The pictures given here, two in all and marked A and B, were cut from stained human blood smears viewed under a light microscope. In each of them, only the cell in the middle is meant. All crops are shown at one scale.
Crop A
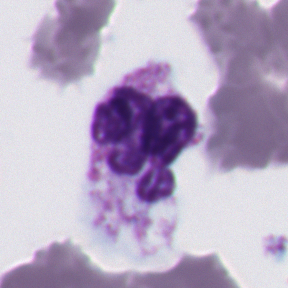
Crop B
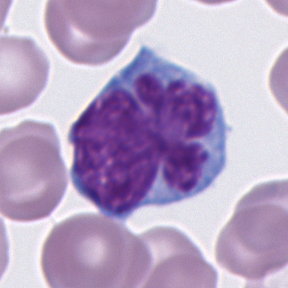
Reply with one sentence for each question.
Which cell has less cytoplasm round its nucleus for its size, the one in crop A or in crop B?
It is the cell in crop B that is filled more by its nucleus.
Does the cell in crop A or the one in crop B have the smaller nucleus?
Smaller is the nucleus in crop A, and the other is about 2 times as large in area.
